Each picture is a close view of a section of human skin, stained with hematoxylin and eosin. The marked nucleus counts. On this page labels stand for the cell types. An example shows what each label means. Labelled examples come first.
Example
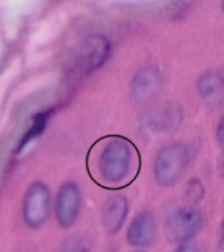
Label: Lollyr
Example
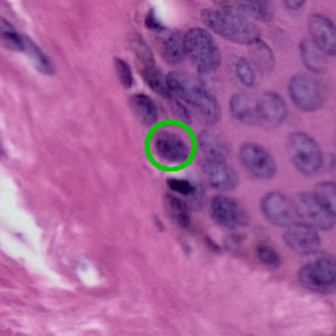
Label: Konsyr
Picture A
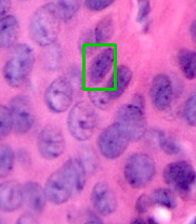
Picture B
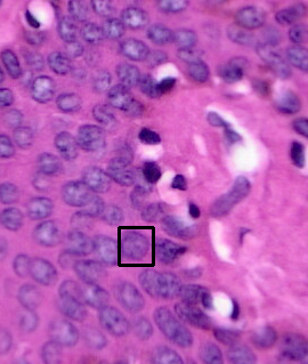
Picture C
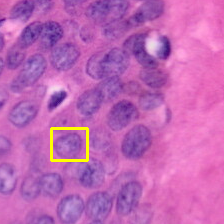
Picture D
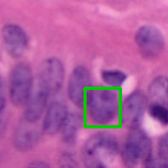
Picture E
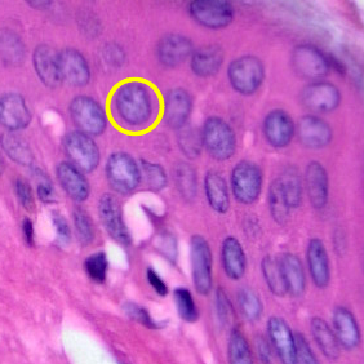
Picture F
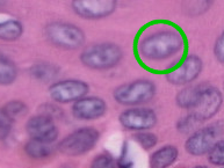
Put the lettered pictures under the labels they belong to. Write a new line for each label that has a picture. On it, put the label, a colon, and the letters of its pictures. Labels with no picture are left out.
Lollyr: C, E, F
Konsyr: A, B, D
